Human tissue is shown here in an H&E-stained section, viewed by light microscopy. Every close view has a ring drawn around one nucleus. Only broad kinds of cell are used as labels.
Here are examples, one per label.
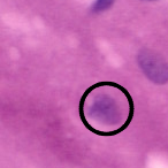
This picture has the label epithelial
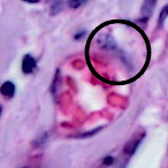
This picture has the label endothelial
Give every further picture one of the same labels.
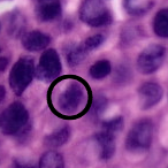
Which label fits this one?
epithelial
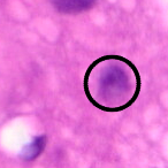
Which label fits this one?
epithelial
